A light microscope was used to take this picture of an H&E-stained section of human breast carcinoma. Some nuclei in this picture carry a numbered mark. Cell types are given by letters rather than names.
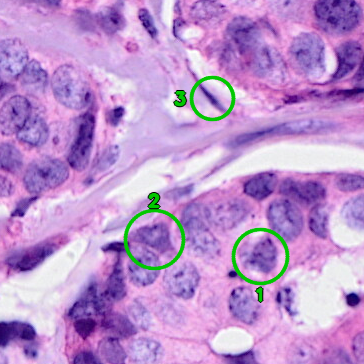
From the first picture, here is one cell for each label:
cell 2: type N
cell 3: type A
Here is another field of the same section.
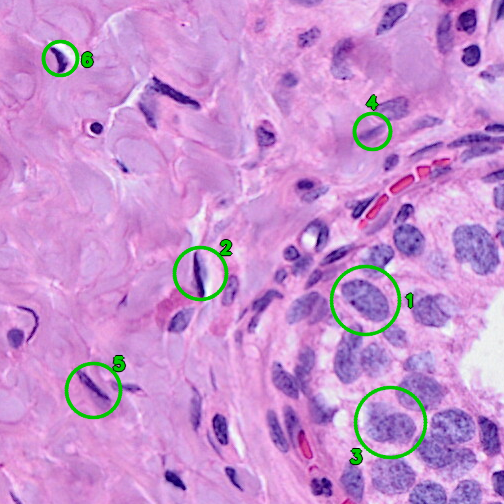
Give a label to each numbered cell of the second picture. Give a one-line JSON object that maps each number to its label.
{"1": "type N", "2": "type A", "3": "type N", "4": "type A", "5": "type A", "6": "type A"}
